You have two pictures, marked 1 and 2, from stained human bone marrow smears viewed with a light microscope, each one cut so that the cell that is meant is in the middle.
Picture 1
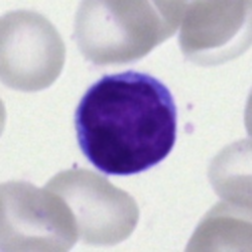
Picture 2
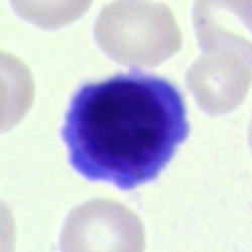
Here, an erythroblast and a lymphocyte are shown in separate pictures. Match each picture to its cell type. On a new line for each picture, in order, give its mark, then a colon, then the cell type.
1: lymphocyte
2: erythroblast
